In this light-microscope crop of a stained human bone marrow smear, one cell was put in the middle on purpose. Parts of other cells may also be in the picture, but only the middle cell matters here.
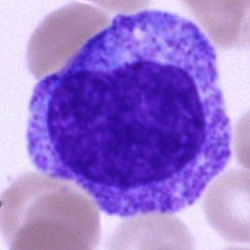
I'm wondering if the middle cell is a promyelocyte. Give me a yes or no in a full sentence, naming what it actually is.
Yes, the cell placed centrally within the crop is a promyelocyte.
